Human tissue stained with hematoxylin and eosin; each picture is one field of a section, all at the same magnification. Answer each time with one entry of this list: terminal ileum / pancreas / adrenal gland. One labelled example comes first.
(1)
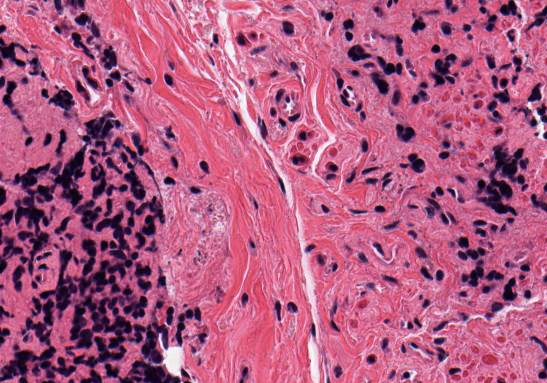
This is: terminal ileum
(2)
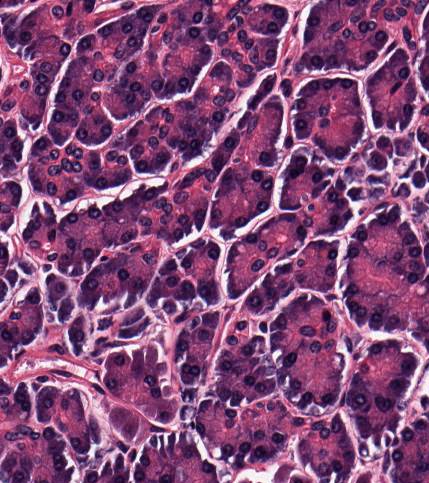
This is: pancreas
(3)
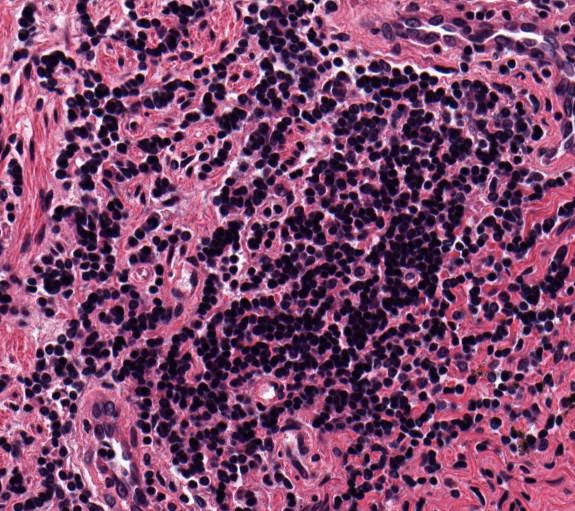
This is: terminal ileum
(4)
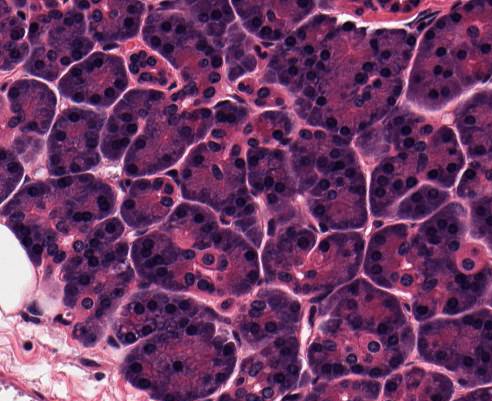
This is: pancreas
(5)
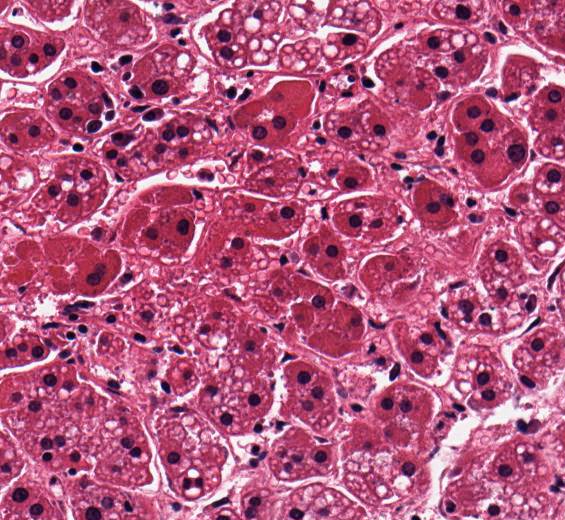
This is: adrenal gland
